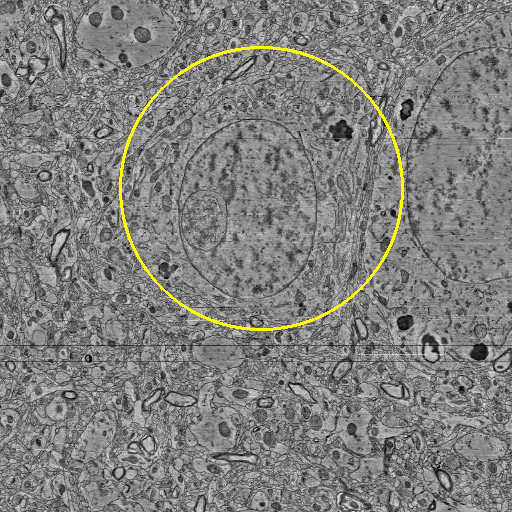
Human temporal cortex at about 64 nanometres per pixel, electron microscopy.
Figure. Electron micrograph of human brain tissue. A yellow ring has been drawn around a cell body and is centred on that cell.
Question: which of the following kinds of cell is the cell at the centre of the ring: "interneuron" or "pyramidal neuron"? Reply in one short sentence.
The cell at the centre of the ring is an interneuron.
